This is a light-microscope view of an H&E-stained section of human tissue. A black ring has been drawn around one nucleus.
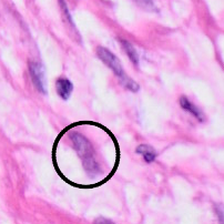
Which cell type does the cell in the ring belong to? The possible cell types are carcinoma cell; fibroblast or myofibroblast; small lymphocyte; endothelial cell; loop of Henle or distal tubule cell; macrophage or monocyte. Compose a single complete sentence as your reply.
With respect to cell type, the cell in the ring is a fibroblast or myofibroblast.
